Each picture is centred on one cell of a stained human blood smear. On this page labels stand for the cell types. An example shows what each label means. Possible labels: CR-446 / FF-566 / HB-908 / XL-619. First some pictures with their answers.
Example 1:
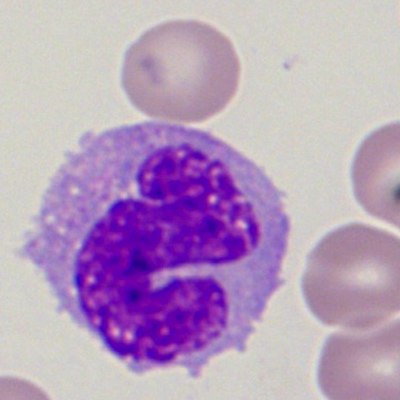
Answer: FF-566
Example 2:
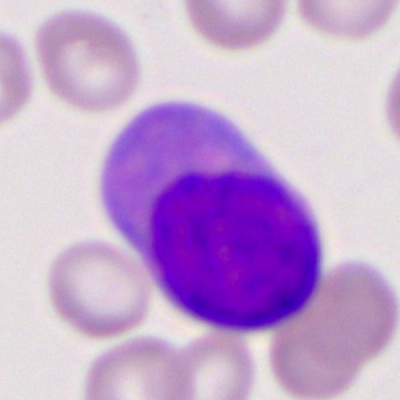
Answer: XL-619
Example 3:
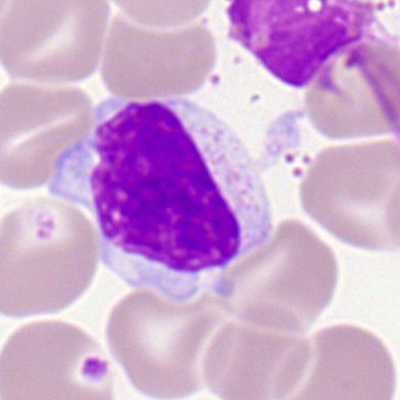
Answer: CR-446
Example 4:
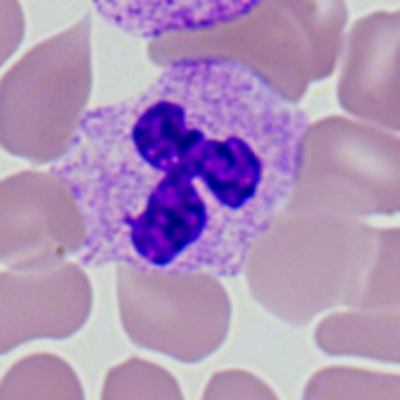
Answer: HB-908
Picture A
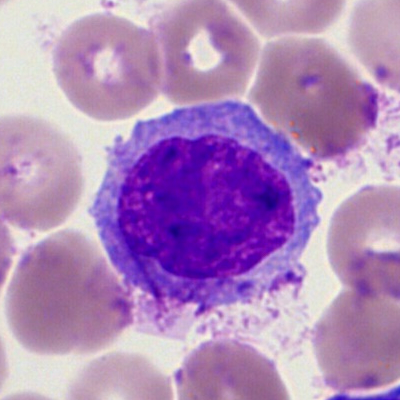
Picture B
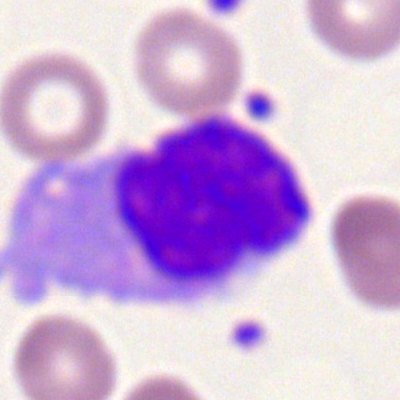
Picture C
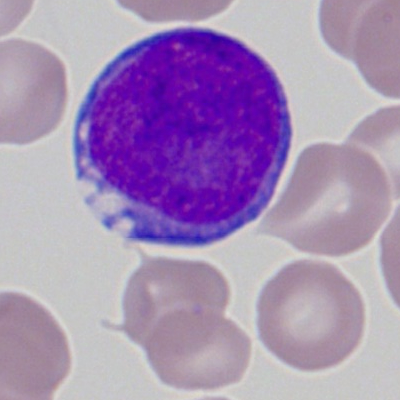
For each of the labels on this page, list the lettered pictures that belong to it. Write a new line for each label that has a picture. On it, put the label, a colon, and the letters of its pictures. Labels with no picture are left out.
FF-566: B
XL-619: A, C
